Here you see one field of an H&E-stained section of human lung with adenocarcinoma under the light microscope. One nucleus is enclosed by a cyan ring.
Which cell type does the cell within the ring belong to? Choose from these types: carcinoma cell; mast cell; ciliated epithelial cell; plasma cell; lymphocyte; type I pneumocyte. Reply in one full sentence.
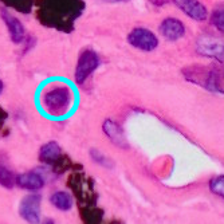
What the cell within the ring represents is a plasma cell.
